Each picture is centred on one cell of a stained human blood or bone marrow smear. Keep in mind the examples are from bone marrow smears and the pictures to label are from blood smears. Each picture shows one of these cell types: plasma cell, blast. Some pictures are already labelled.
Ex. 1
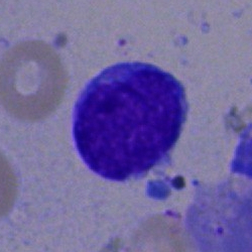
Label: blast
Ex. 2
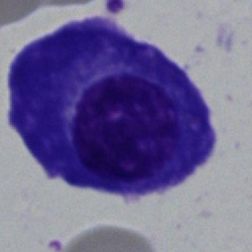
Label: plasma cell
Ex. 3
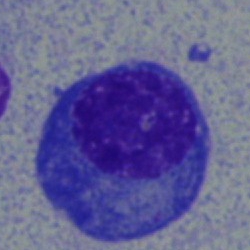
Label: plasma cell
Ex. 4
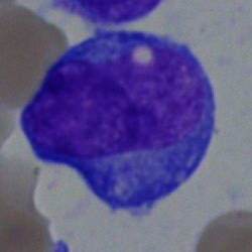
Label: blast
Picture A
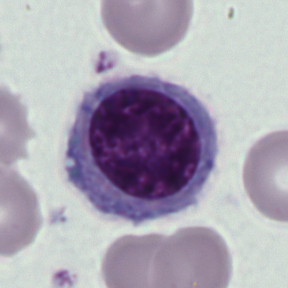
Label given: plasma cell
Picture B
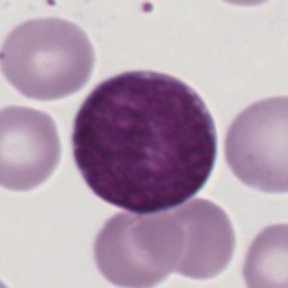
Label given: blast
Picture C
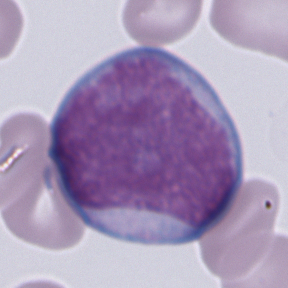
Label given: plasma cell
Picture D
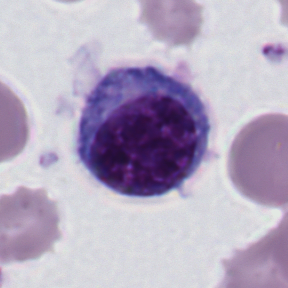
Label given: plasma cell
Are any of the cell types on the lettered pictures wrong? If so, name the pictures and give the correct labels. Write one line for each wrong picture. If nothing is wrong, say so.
C should be blast, not plasma cell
